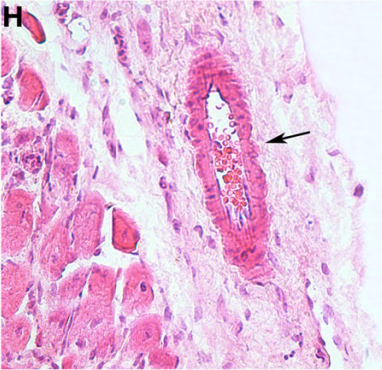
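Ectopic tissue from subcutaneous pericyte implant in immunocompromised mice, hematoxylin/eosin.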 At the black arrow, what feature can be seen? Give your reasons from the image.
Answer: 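Vessels. A tubular structure with a lumen containing red blood cells. Its wall is made of several layers of elongated cells.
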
